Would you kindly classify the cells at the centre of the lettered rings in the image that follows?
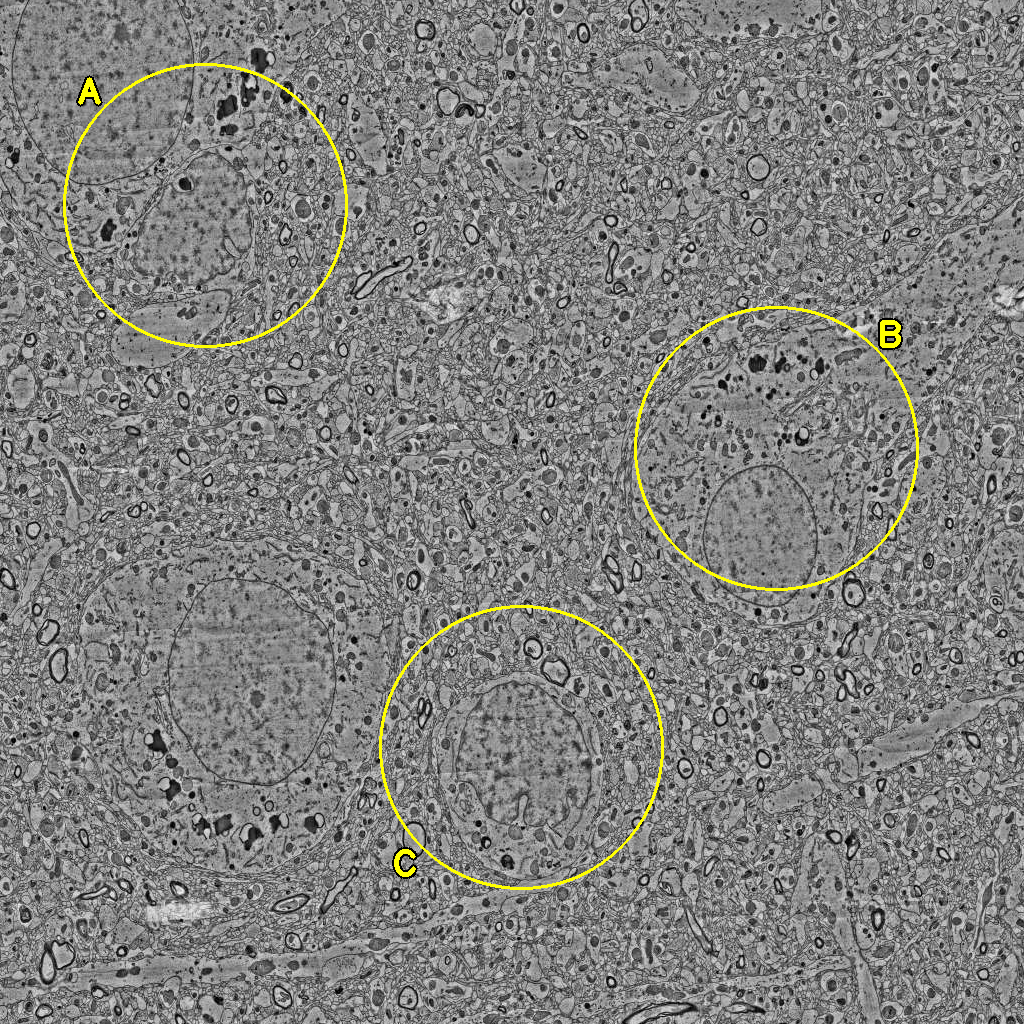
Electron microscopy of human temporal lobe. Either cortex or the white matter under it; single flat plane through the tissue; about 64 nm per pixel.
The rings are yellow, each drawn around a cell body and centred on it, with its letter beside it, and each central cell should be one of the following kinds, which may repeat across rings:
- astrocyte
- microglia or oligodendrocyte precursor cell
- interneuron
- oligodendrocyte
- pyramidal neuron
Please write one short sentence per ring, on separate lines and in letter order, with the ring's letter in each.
The kind of cell at the centre of ring A is an interneuron.
The kind of cell at the centre of ring B is a pyramidal neuron.
The kind of cell at the centre of ring C is an interneuron.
